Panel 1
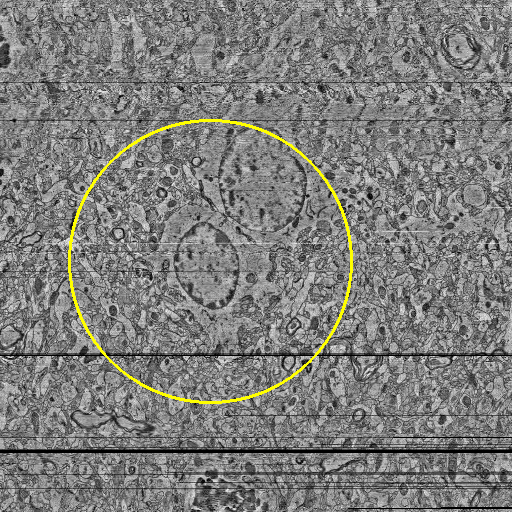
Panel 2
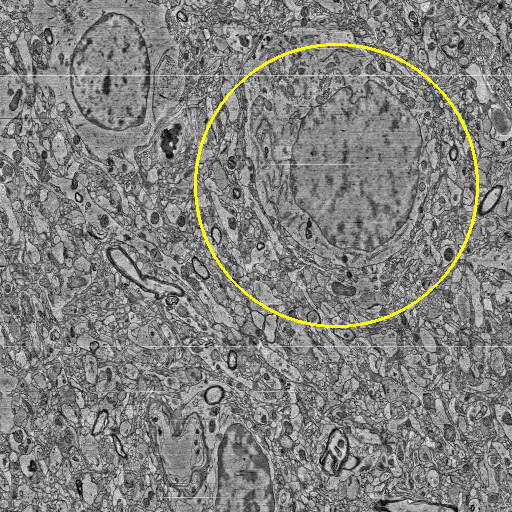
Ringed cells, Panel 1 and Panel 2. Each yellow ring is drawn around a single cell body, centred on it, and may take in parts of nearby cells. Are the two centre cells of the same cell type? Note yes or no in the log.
no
